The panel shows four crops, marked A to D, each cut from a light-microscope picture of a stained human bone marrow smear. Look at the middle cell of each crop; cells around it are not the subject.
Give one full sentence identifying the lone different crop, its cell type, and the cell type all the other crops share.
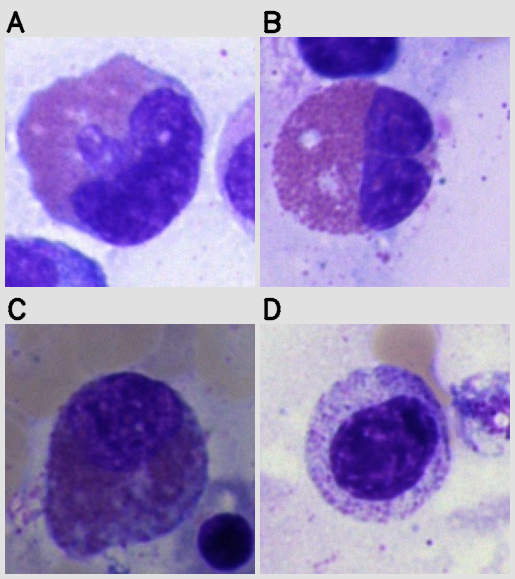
The central cell of crop D is a myelocyte, while the other crops show eosinophils.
